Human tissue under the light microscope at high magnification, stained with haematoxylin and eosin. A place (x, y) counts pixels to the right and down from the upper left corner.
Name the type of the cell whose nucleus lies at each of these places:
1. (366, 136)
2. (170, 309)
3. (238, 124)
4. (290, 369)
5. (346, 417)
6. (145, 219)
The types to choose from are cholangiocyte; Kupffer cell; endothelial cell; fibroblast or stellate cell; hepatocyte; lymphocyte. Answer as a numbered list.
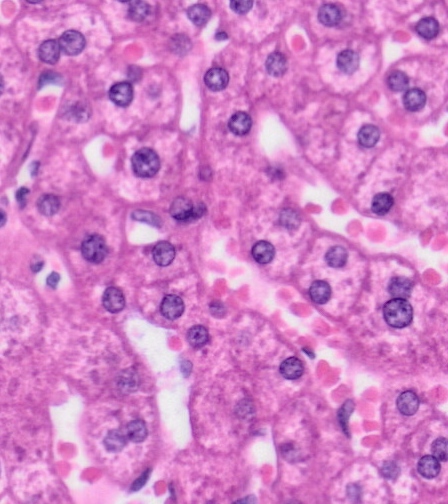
1. hepatocyte
2. hepatocyte
3. hepatocyte
4. hepatocyte
5. Kupffer cell
6. Kupffer cell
